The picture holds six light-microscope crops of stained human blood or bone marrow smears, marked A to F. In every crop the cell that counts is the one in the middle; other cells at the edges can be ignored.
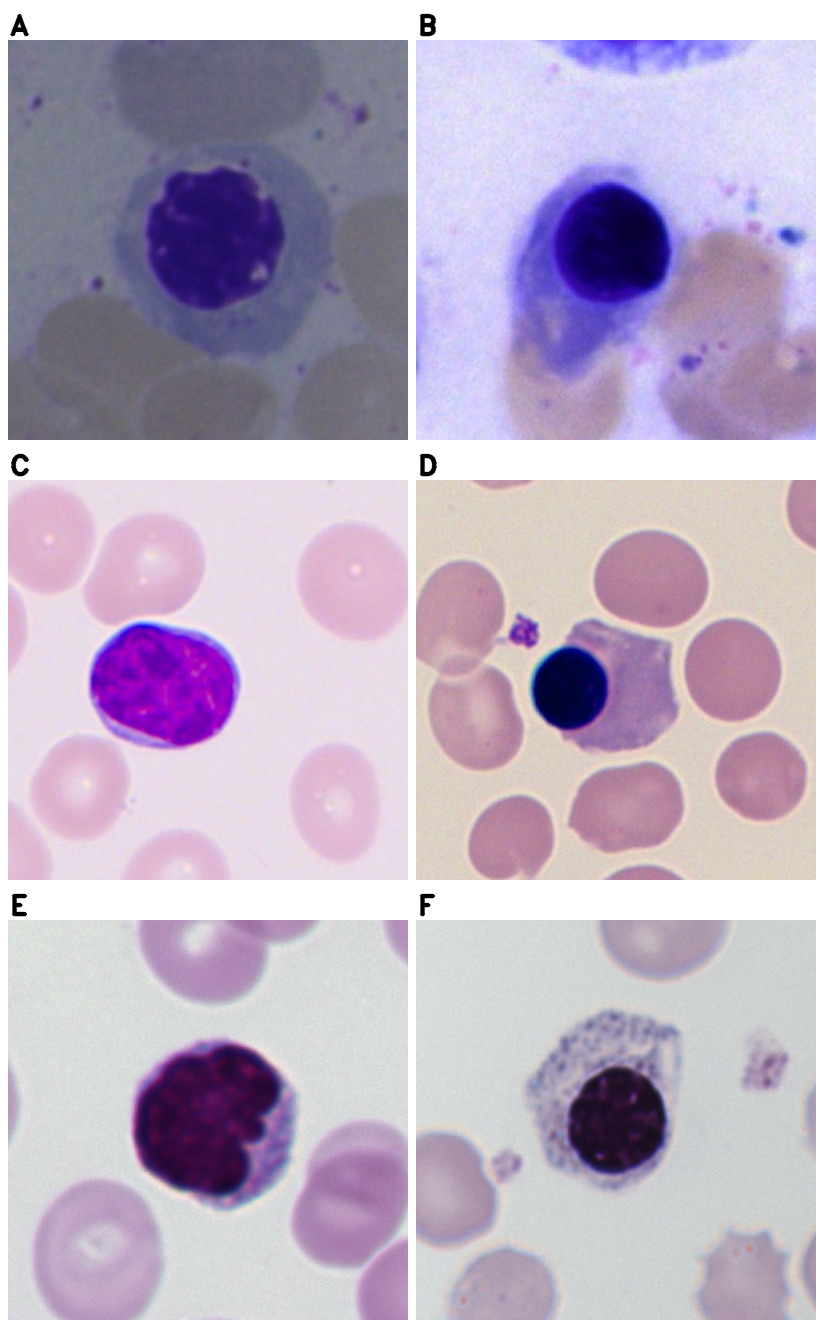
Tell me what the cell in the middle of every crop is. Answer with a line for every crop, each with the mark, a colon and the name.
A: erythroblast
B: erythroblast
C: lymphocyte
D: erythroblast
E: lymphocyte
F: erythroblast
